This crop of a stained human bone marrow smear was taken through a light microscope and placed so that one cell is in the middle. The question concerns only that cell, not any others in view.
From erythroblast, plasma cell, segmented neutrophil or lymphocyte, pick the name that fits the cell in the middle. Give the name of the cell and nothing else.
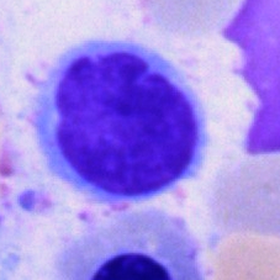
lymphocyte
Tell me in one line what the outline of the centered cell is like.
Worth noting that the cell border is smooth and lacks projections.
